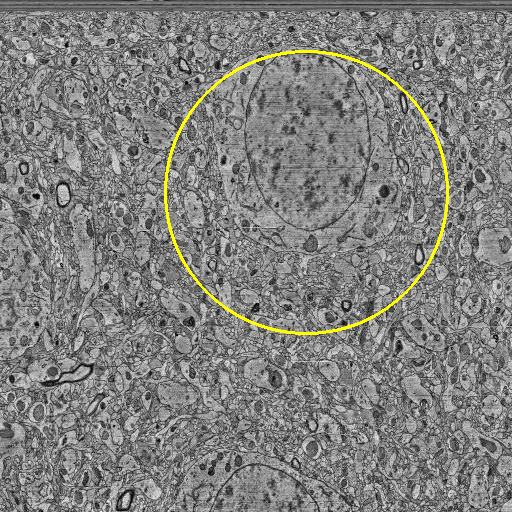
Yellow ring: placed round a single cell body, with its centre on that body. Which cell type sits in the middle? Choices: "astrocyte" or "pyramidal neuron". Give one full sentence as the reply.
It is a pyramidal neuron whose cell body sits at the centre of the yellow ring.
